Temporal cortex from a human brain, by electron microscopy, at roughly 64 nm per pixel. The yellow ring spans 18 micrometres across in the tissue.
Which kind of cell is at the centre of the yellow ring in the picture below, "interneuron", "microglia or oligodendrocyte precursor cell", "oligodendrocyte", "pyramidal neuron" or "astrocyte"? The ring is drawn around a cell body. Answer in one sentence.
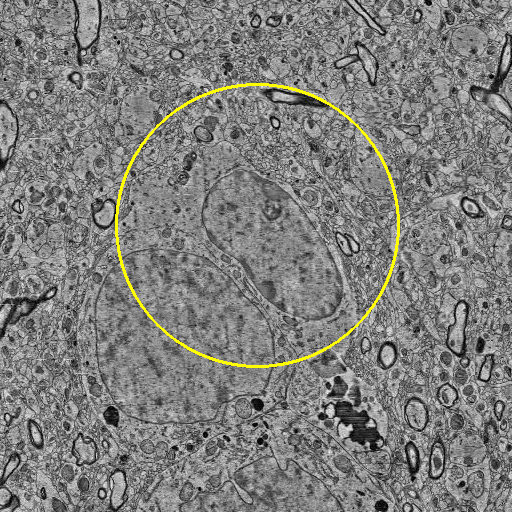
The ring's central cell is a microglial cell or oligodendrocyte precursor cell.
